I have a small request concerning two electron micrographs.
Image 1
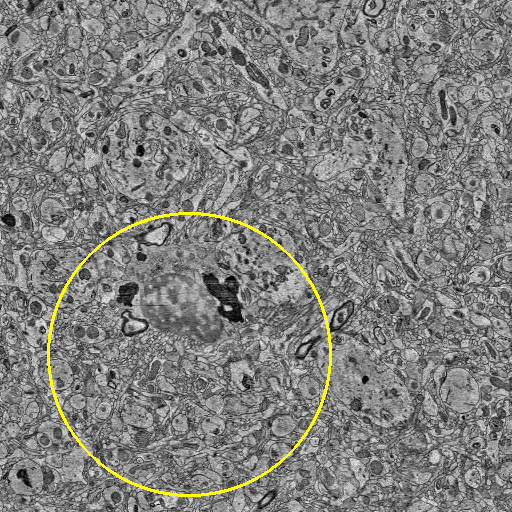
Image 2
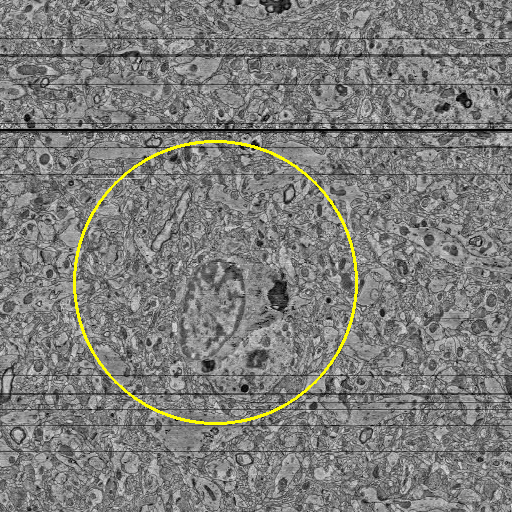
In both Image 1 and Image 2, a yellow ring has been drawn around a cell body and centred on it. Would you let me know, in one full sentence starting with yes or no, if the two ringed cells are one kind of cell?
Yes, the cells ringed in Image 1 and Image 2 are one kind of cell.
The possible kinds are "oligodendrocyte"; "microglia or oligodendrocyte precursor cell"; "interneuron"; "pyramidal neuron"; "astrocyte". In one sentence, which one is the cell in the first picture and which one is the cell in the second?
Both cells are the same kind, each one being an oligodendrocyte.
